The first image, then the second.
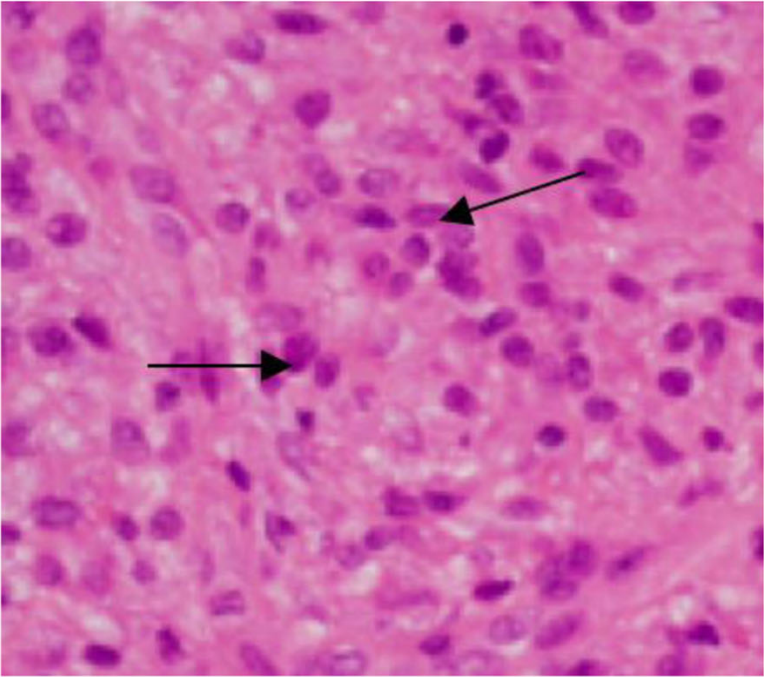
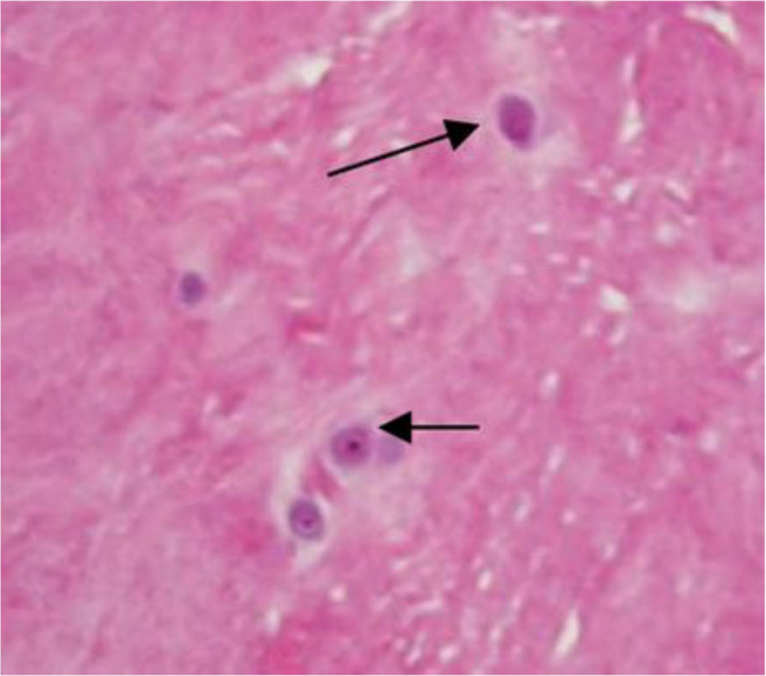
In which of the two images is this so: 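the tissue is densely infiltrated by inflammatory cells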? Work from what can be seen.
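Second image: only a few isolated cells in abundant pink matrix.
Conclusion: the first image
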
